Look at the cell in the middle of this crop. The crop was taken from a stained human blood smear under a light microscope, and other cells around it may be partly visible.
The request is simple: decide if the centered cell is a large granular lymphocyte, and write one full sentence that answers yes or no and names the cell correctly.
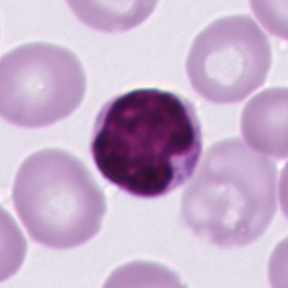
Yes, the centre of the crop holds a large granular lymphocyte.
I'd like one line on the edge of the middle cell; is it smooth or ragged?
You can see a smooth boundary, with no projections sticking out.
